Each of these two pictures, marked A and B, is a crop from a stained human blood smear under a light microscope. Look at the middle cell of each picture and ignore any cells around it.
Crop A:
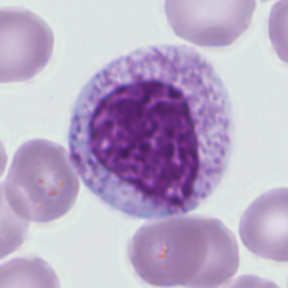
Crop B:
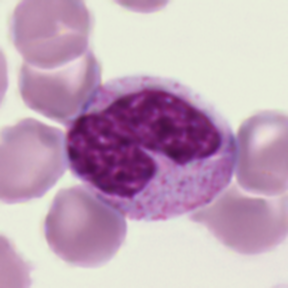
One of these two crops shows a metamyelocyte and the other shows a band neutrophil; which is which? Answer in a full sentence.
Crop A features a metamyelocyte, and crop B features a band neutrophil.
